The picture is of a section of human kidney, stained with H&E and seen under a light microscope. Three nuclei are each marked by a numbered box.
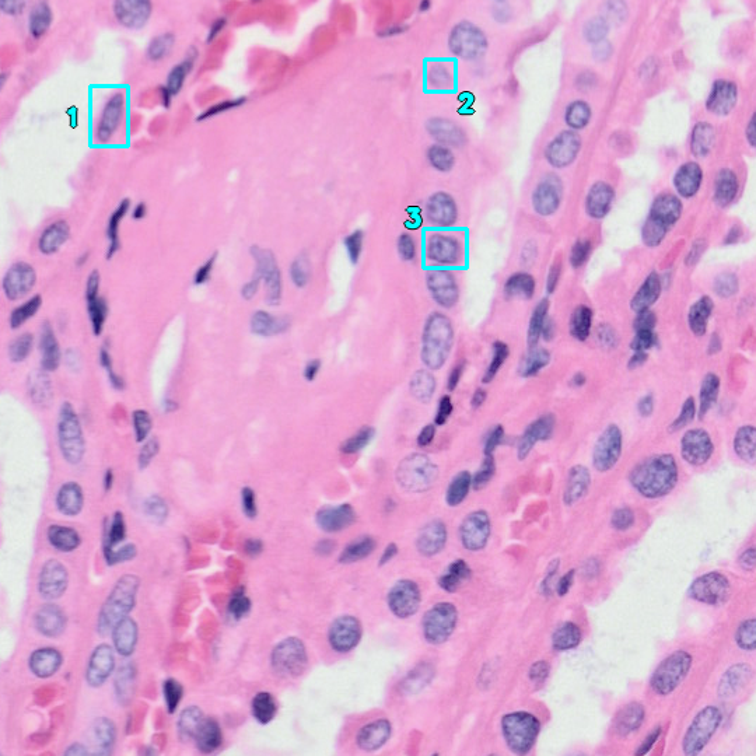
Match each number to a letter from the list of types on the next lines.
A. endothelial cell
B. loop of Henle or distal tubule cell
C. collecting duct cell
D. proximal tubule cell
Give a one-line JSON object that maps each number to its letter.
{"1": "B", "2": "C", "3": "C"}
